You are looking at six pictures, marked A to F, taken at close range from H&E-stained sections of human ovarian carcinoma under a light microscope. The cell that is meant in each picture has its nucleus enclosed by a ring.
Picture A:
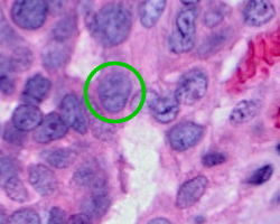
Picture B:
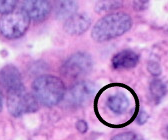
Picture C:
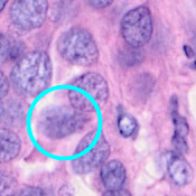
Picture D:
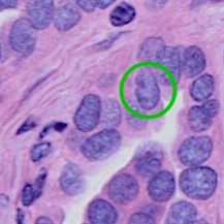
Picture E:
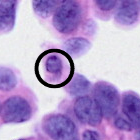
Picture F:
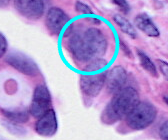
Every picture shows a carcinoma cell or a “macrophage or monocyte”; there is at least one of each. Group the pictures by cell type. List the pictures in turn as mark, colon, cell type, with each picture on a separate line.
A: carcinoma cell
B: macrophage or monocyte
C: carcinoma cell
D: carcinoma cell
E: macrophage or monocyte
F: carcinoma cell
